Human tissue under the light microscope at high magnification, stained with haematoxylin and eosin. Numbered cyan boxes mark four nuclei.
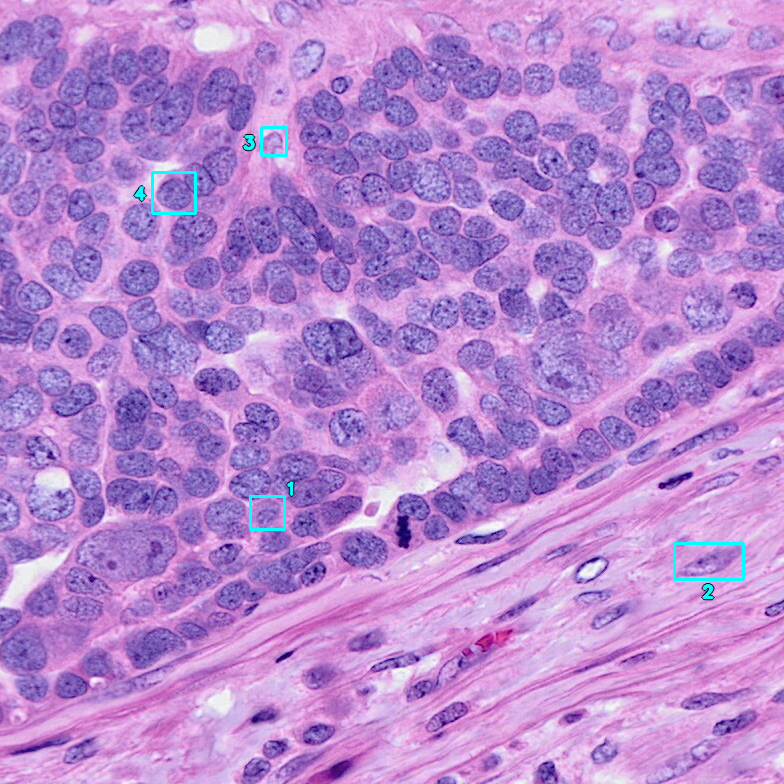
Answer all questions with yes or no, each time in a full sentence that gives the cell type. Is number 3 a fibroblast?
Yes, looking at number 3, that cell is a fibroblast.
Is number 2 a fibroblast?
Yes, regarding cell number 2, it is a fibroblast.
